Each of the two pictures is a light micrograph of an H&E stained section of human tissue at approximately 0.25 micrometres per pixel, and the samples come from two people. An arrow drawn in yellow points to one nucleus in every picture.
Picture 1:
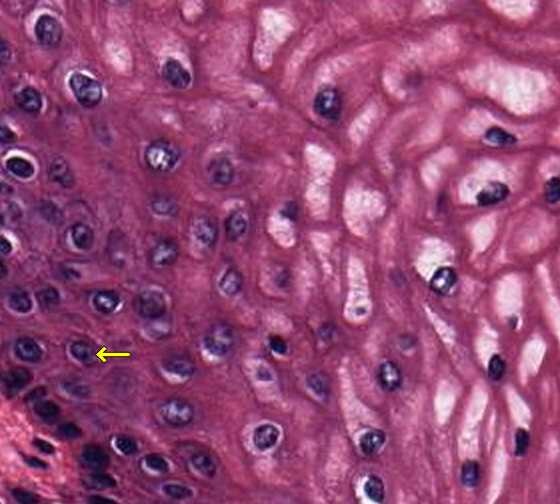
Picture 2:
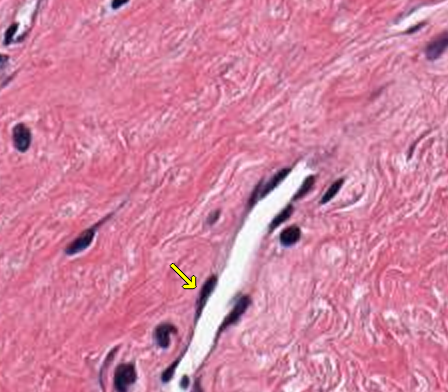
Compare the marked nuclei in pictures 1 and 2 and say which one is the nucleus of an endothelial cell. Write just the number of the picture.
2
